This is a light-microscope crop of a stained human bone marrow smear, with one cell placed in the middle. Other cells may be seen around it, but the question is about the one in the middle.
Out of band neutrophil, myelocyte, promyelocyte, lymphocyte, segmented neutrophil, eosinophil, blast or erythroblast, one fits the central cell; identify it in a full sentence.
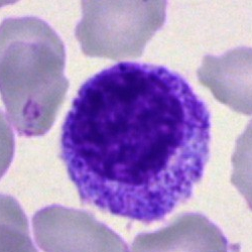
By classification, the middle cell of this crop is a myelocyte.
